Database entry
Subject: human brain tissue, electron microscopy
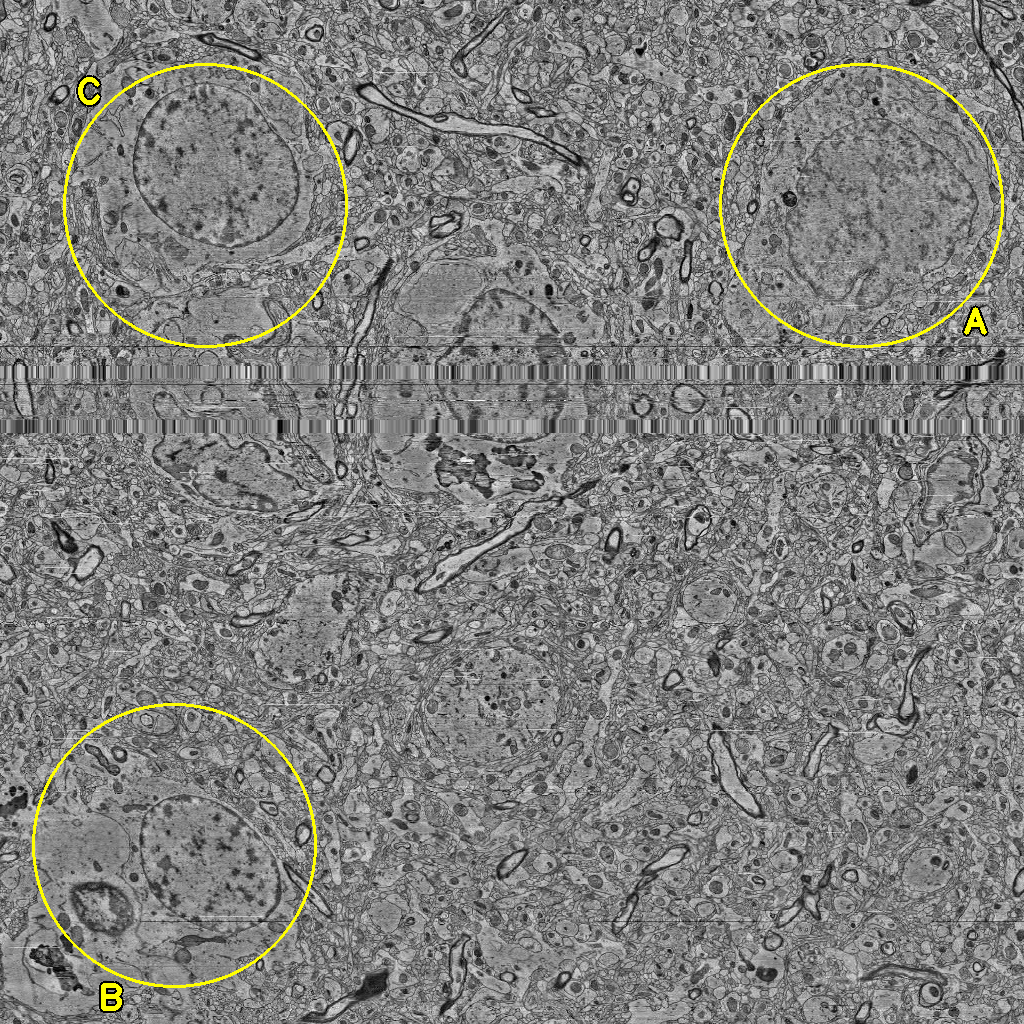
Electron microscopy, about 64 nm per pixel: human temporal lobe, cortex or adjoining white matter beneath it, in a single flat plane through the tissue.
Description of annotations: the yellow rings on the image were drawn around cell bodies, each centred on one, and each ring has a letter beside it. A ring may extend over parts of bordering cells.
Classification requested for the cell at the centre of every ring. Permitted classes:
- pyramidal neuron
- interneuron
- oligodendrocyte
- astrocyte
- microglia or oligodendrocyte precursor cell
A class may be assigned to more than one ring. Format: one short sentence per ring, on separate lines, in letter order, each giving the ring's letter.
The cell body at the centre of ring A is an interneuron.
The cell body at the centre of ring B is an astrocyte.
The cell body at the centre of ring C is an astrocyte.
